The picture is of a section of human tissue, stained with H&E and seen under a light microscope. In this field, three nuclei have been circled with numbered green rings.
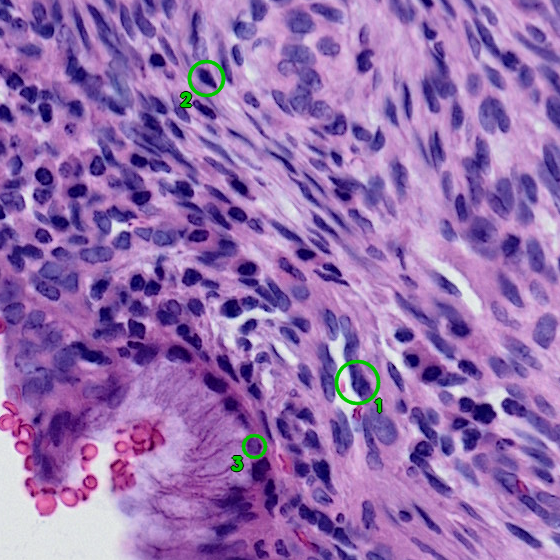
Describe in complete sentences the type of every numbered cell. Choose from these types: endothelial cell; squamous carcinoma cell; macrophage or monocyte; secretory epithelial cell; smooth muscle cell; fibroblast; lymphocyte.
Cell 1 is an endothelial cell, cell 2 is a lymphocyte and cell 3 is a secretory epithelial cell.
